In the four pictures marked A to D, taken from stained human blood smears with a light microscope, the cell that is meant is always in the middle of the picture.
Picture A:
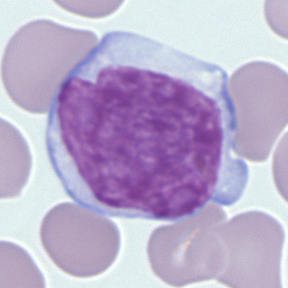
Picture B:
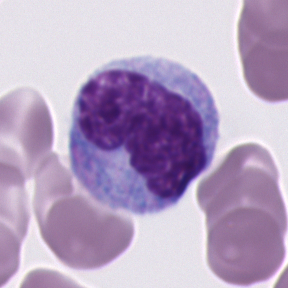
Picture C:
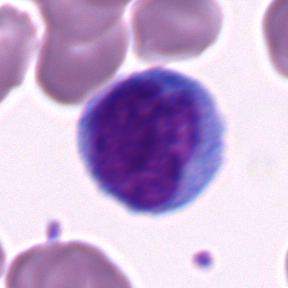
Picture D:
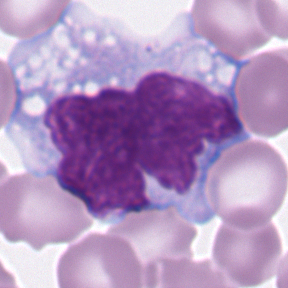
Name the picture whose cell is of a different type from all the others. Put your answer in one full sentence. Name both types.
Unlike the rest, which show monocytes, picture A shows a myeloblast.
